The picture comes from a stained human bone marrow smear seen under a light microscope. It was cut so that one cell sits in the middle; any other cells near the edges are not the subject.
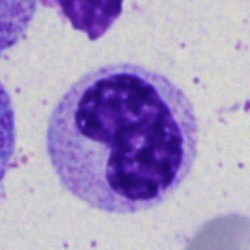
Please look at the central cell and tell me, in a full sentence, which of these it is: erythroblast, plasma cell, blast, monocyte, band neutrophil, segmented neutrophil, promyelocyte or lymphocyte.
The cell positioned in the middle of the field is a band neutrophil.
